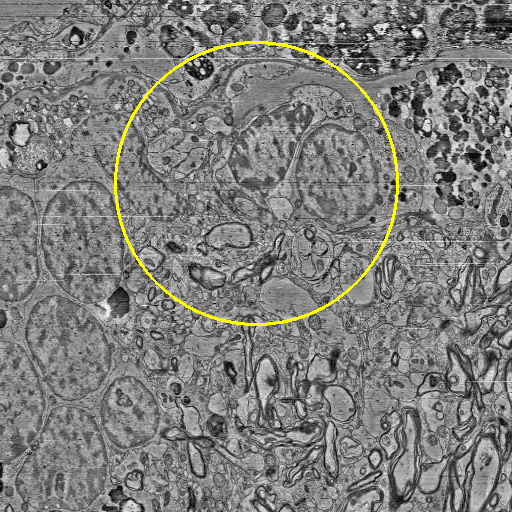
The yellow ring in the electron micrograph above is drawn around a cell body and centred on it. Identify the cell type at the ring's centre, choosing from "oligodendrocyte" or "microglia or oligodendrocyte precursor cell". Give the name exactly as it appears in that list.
microglia or oligodendrocyte precursor cell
